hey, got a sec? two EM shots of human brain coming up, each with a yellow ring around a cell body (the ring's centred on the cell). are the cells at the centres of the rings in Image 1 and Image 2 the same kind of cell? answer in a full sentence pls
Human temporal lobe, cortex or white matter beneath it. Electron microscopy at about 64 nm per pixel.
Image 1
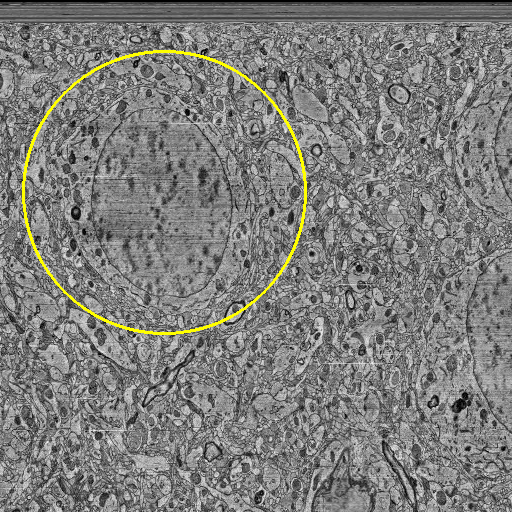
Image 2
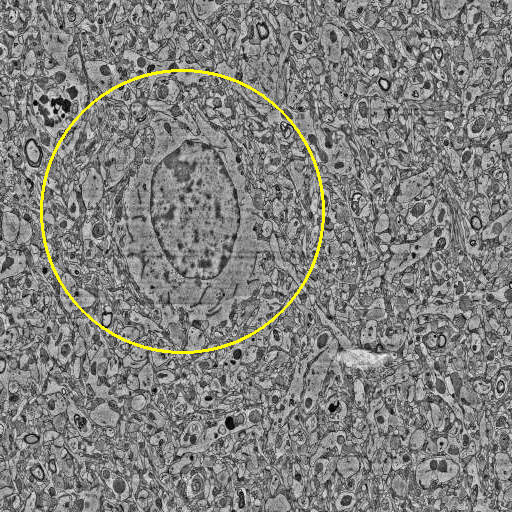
No, they are two kinds of cell.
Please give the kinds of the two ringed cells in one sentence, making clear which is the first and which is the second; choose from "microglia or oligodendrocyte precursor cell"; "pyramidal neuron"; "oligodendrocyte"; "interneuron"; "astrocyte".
In the second picture the ringed cell is an astrocyte; in the first it is a pyramidal neuron.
